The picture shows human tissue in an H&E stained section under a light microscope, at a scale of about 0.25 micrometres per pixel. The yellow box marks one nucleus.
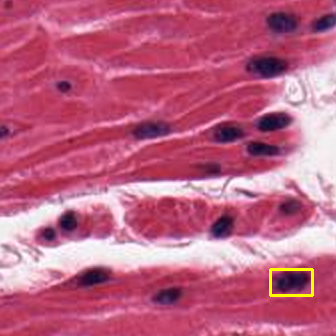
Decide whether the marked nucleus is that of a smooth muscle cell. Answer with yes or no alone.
yes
